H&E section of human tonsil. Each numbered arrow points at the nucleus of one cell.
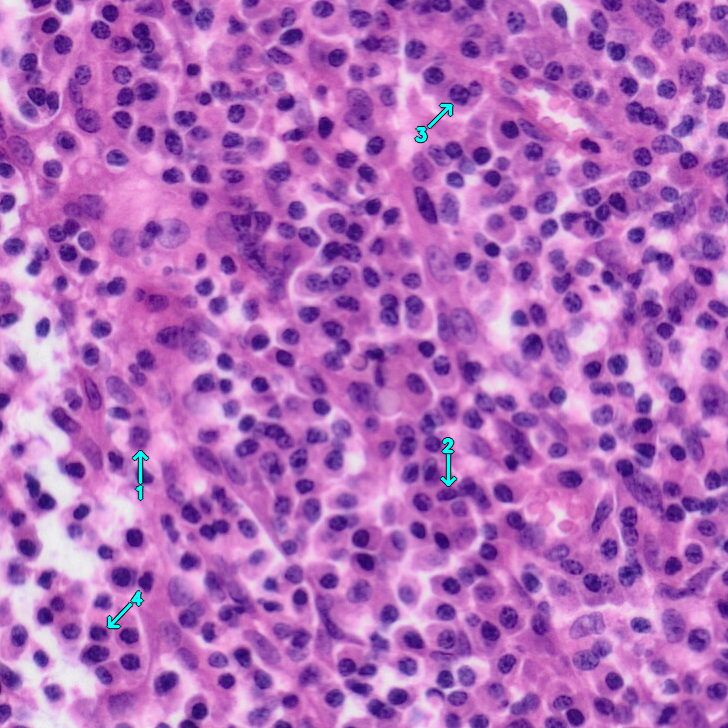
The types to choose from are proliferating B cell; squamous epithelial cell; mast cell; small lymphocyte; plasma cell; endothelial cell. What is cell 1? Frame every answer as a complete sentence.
The cell referred to as 1 is a squamous epithelial cell.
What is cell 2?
In this section, number 2 marks a plasma cell.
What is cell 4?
The cell pointed out by number 4 is a plasma cell.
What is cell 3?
In this section, the cell tagged 3 is a plasma cell.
